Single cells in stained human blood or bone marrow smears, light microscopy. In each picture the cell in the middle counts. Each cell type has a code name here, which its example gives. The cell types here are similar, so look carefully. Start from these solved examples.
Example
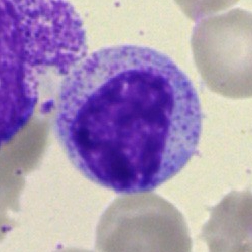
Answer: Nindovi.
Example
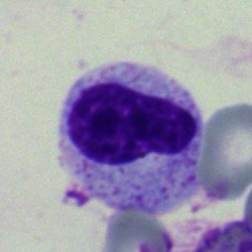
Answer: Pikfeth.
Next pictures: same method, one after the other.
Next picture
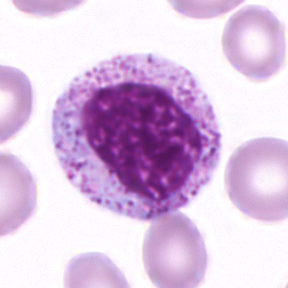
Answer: Pikfeth.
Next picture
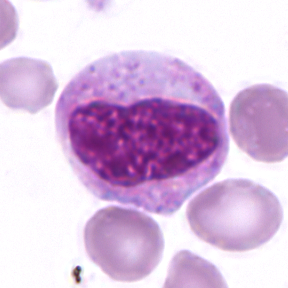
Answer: Pikfeth.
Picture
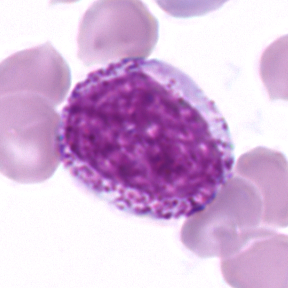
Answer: Nindovi.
